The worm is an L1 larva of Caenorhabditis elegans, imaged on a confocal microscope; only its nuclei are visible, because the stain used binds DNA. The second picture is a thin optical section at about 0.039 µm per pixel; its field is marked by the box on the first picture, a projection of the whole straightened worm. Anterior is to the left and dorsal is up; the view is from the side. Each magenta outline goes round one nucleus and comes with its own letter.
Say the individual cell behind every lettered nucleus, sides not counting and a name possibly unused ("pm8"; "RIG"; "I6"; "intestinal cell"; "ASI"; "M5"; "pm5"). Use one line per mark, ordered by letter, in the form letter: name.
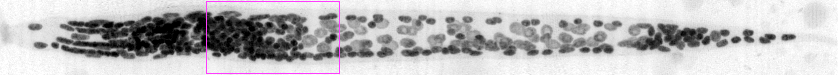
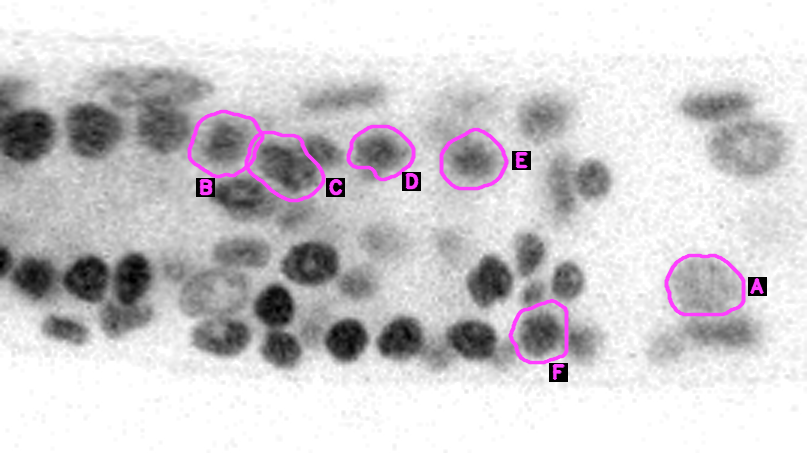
A: intestinal cell
B: ASI
C: pm5
D: I6
E: M5
F: RIG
